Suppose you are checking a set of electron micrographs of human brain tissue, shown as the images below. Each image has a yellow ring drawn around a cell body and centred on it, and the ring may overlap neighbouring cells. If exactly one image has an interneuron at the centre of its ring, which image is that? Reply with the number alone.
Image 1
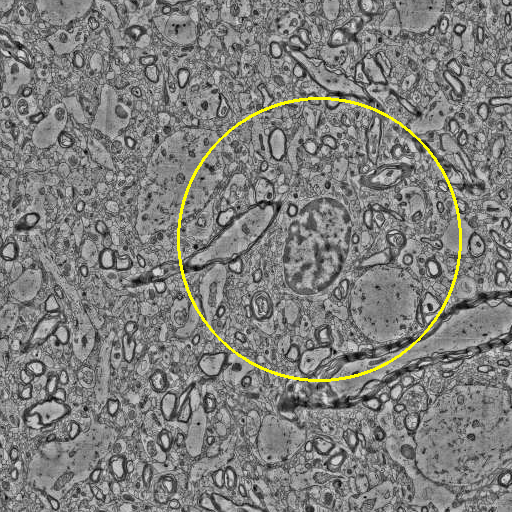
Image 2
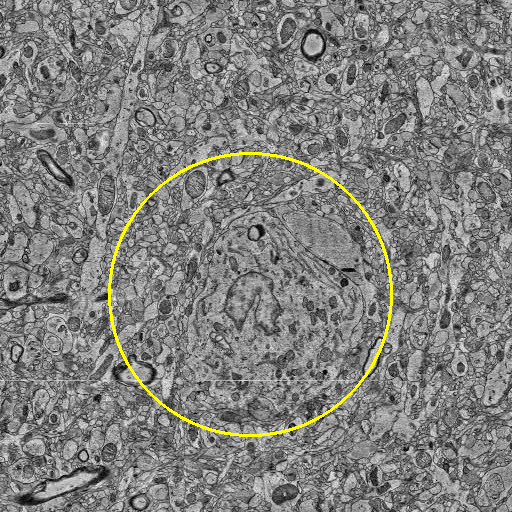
2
